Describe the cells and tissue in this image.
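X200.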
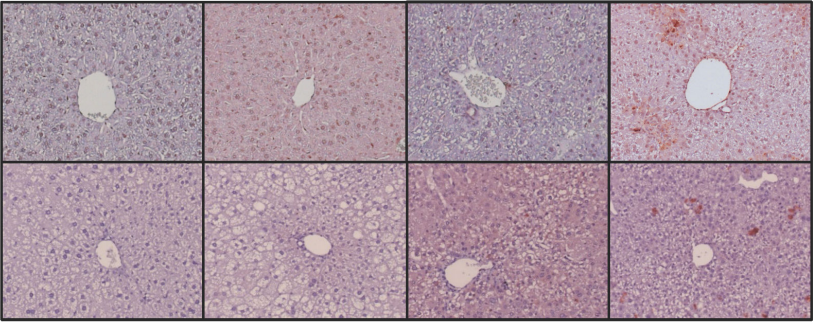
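Liver parenchyma is shown in eight fields, each with a round vascular lumen surrounded by sheets of polygonal hepatocytes with round nuclei and pale to pink cytoplasm, several fields showing pale, vacuolated-looking cytoplasm. Scattered cells or small clusters stained dark red-brown lie within the hepatocyte sheets, most evident in the fields on the right side of the grid.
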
